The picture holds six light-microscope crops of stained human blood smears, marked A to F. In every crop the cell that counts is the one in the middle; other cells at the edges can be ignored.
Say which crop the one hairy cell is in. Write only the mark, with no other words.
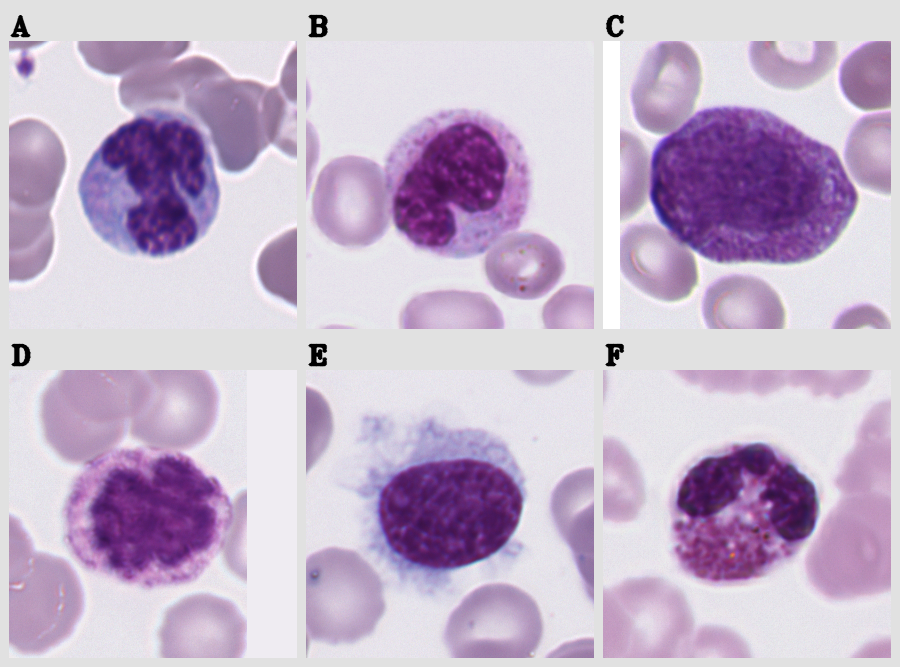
E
